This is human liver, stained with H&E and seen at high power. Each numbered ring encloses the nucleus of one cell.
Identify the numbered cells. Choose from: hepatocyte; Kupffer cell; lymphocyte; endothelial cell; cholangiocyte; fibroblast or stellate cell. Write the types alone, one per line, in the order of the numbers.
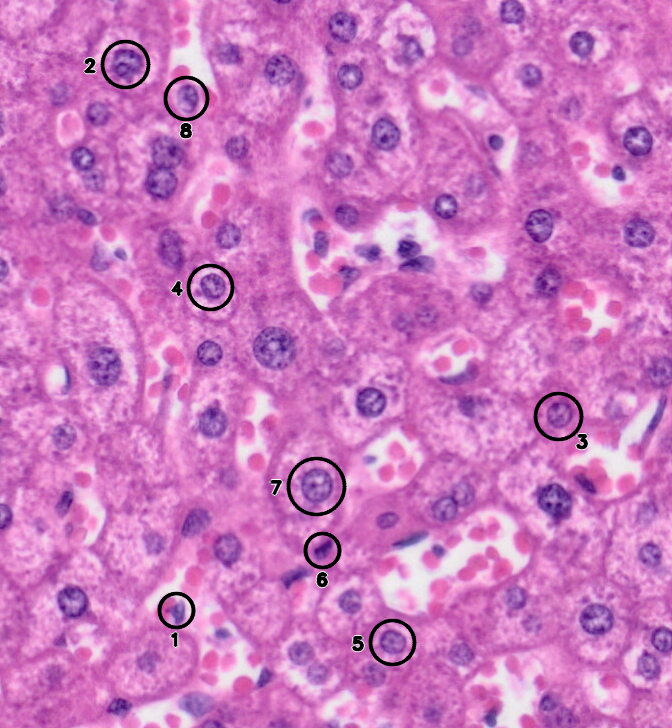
lymphocyte
hepatocyte
hepatocyte
hepatocyte
hepatocyte
fibroblast or stellate cell
hepatocyte
Kupffer cell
